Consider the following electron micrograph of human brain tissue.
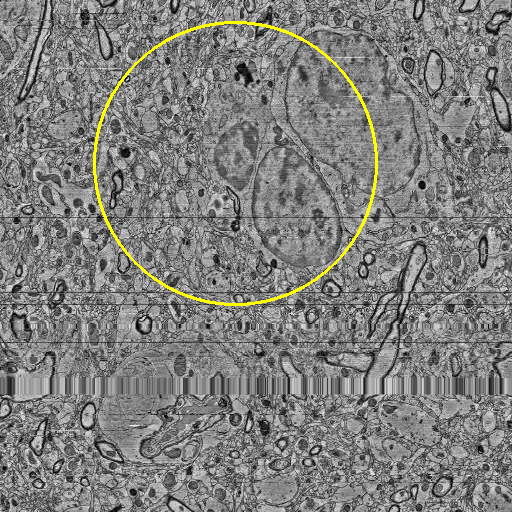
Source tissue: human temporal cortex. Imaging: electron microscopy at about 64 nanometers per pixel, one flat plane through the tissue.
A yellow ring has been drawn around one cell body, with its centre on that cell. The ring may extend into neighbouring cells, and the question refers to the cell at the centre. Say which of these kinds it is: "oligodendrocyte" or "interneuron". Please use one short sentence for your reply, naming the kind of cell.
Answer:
The centre of the ring falls on an oligodendrocyte.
